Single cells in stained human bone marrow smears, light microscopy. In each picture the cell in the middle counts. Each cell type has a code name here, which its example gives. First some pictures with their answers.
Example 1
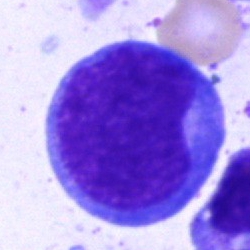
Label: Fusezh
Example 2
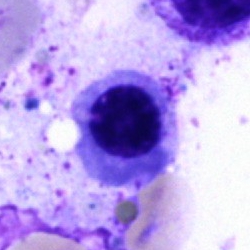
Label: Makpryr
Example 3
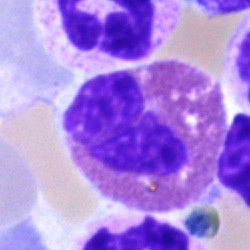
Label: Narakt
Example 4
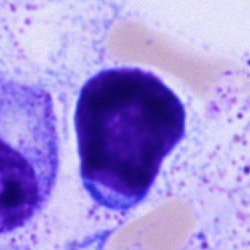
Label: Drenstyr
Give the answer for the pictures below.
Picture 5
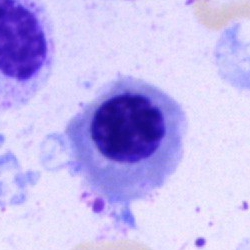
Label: Makpryr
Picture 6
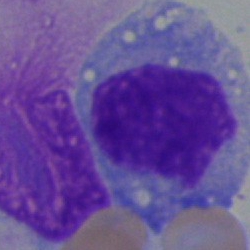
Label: Fusezh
